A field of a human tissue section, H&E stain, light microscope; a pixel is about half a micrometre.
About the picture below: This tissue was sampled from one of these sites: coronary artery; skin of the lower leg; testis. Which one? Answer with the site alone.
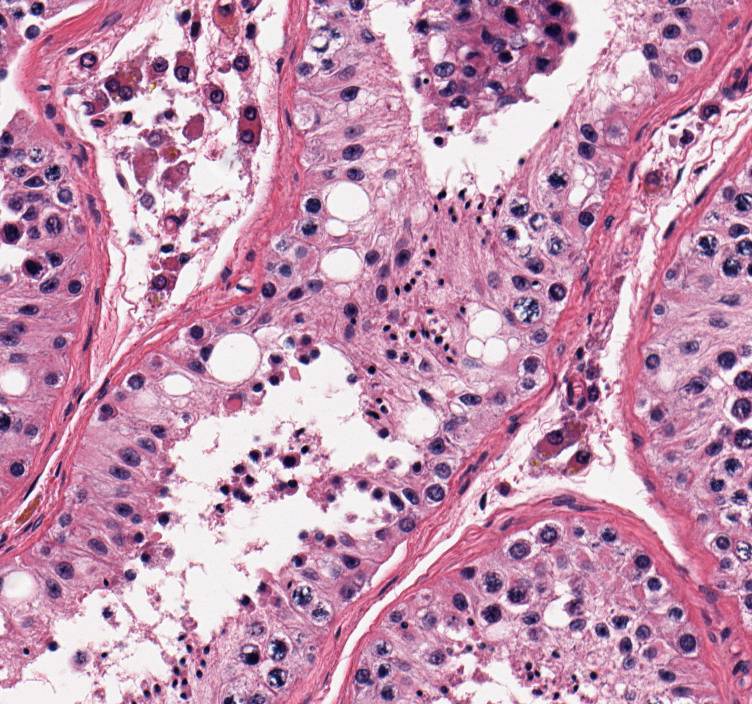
testis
